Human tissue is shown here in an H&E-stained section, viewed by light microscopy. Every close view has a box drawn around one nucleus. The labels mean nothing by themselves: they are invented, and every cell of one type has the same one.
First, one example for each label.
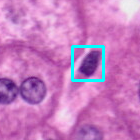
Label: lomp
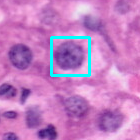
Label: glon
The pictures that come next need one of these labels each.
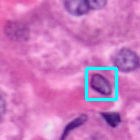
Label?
lomp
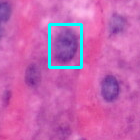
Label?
glon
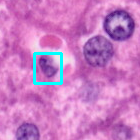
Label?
lomp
